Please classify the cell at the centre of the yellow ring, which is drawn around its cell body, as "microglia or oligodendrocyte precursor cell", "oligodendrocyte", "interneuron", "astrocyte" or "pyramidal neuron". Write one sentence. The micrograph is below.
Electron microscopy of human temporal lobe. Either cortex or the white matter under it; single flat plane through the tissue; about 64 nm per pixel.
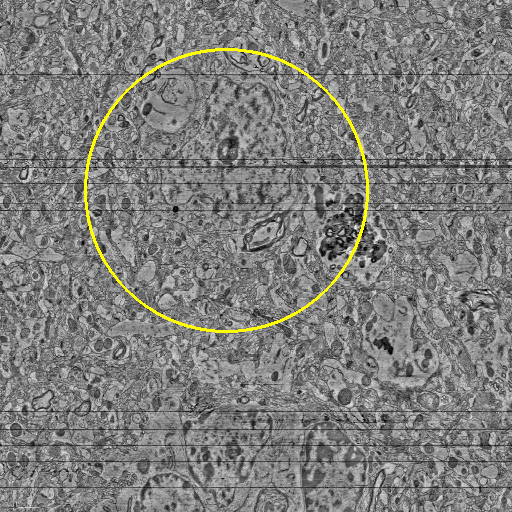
The cell at the ring's centre is classified as an interneuron.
